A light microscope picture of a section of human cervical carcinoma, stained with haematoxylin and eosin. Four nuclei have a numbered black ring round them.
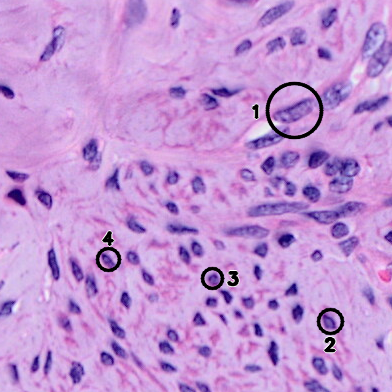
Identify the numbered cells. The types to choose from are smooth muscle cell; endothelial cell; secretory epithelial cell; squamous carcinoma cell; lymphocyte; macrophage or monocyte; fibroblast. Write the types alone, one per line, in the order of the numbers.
endothelial cell
smooth muscle cell
smooth muscle cell
smooth muscle cell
